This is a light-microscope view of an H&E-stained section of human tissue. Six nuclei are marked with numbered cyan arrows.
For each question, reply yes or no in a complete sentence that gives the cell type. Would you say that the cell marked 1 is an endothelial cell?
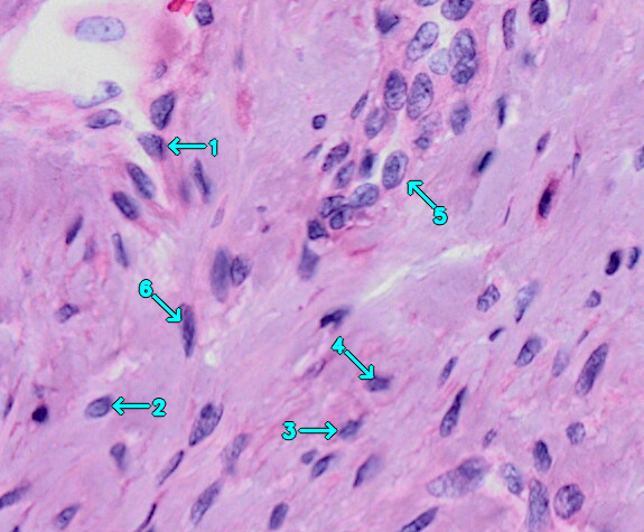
Yes, that is correct: the cell numbered 1 is an endothelial cell.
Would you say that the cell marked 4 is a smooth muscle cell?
Yes, the marked cell numbered 4 is a smooth muscle cell.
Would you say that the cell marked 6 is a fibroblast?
Yes, as for number 6, the cell is a fibroblast.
